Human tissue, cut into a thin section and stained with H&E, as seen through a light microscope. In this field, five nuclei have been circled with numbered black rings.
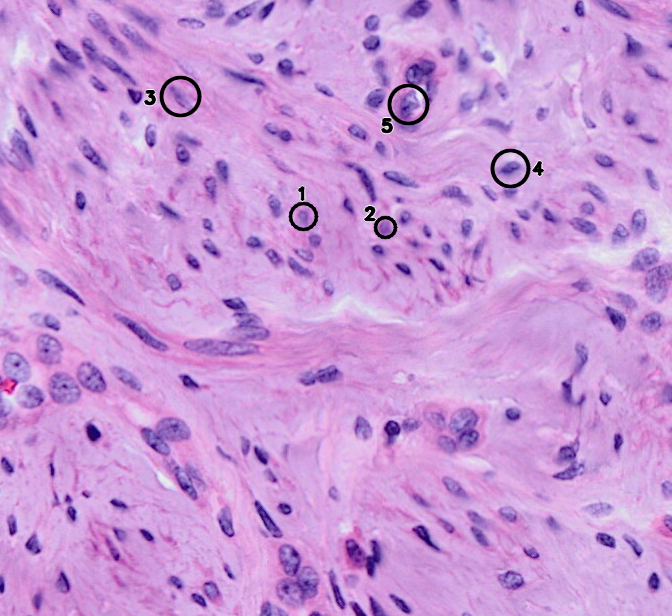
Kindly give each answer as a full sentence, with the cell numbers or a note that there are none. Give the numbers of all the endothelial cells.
It is only cell 5 that is an endothelial cell among the numbered cells.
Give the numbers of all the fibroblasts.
The one cell that is a fibroblast is cell 4, and no other.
